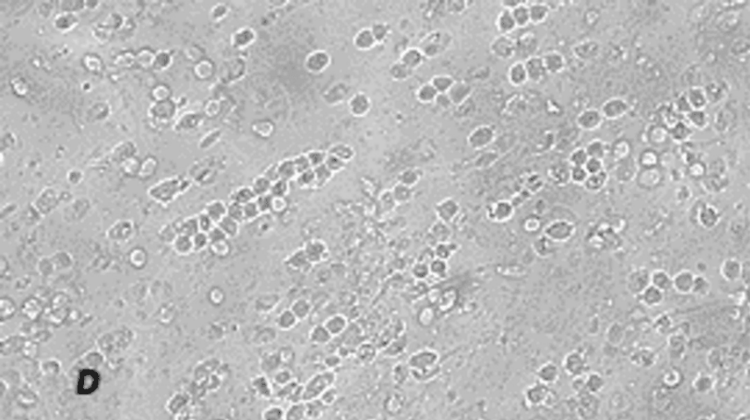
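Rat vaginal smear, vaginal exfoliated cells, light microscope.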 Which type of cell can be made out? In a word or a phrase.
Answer: leukocytes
